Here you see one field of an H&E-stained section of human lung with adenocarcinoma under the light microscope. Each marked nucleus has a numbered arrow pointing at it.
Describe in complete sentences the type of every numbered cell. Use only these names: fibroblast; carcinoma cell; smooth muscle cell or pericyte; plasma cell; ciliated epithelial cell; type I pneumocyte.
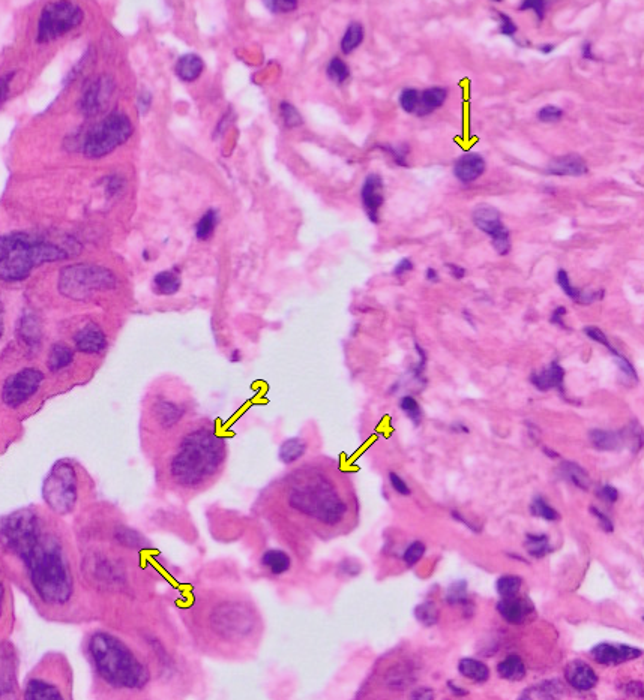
Cell 1 is a plasma cell, cell 2 is a carcinoma cell, cell 3 is a carcinoma cell and cell 4 is a carcinoma cell.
